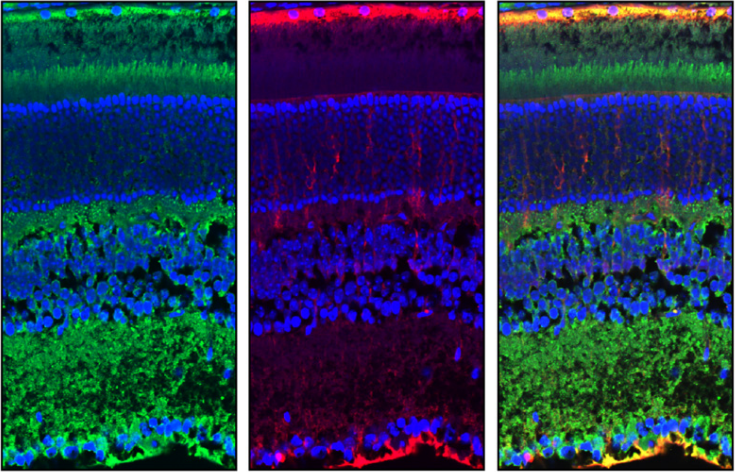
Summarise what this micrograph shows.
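A vertical section of the retina with its pigment epithelium is shown in three matching strips. At the top, the retinal pigment epithelium forms a thin band that is bright red and yellow in the merge. Beneath lies a striated layer of photoreceptor outer parts, then the thick outer nuclear layer of densely packed blue nuclei. A thin nucleus-poor band separates it from the inner nuclear layer, whose nuclei are larger and looser. Thin red radial strands of Müller cells cross the nuclear layers.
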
